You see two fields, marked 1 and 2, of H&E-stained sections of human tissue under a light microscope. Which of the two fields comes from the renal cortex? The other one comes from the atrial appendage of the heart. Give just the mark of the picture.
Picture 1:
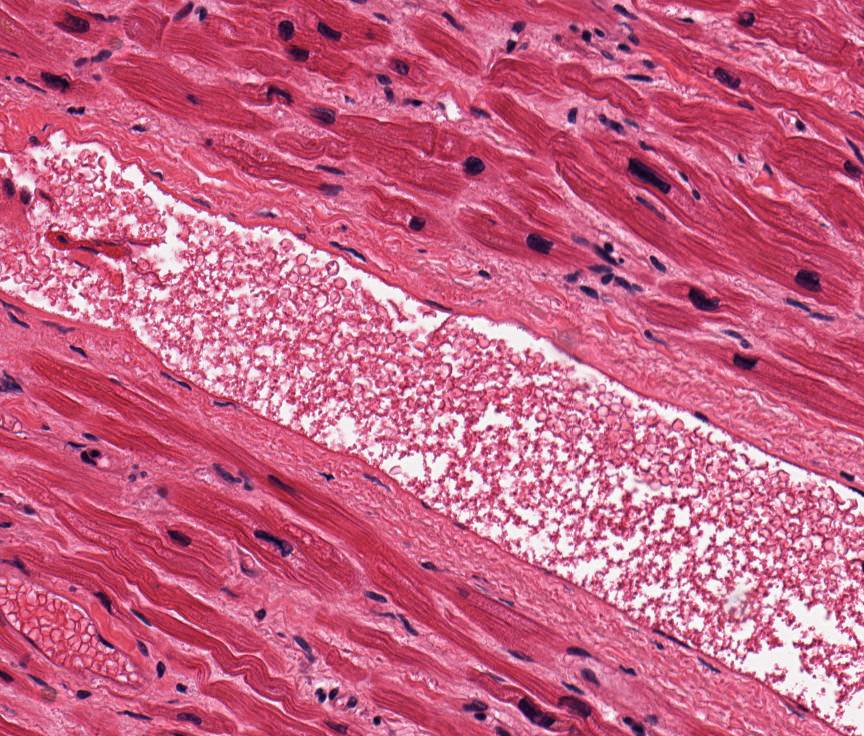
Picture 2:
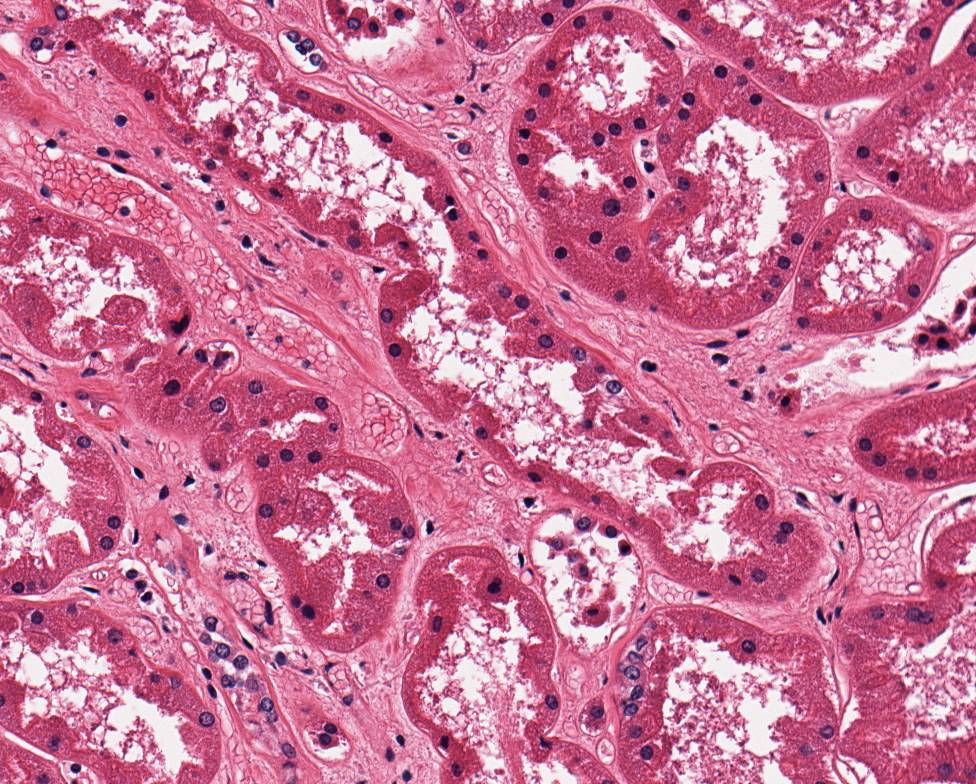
2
